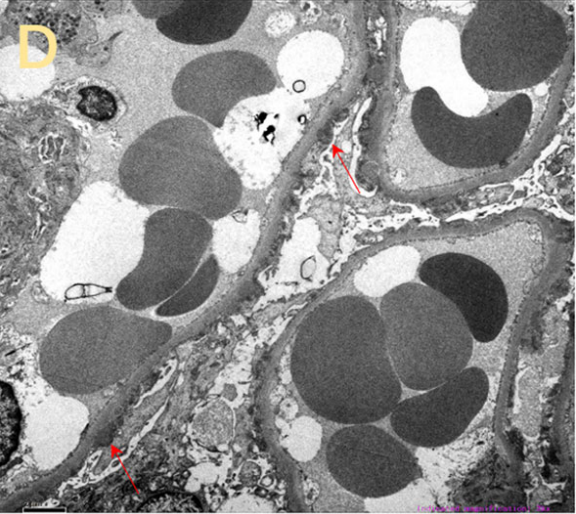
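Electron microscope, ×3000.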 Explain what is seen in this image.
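Several round capillary lumens are packed with dark, oval red blood cells, some pale areas of plasma between them. The walls appear as a continuous grey band, and along their outer aspect there is dark, dense material lying on or within the band, giving an uneven outline. These are glomerular capillary loops with electron dense deposits in the subepithelial position and within the basement membrane.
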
